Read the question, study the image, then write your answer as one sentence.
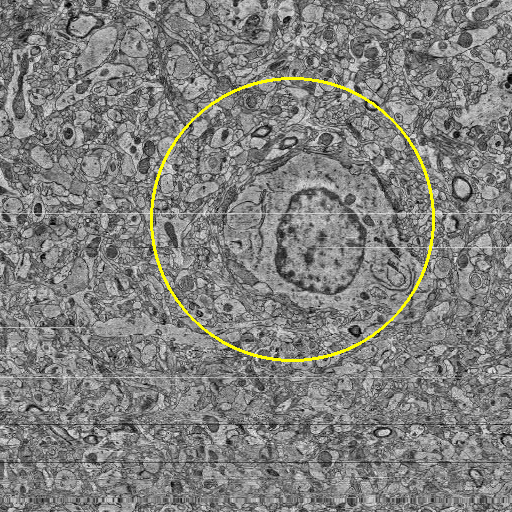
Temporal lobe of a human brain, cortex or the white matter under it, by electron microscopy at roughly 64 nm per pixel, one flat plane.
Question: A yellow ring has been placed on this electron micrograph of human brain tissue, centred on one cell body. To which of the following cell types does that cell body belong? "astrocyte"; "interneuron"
That cell body belongs to an astrocyte.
